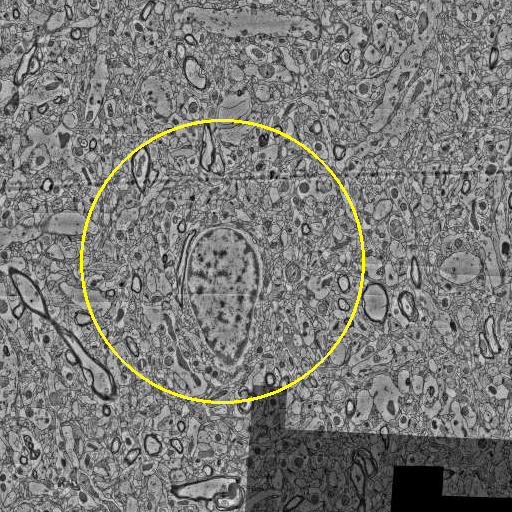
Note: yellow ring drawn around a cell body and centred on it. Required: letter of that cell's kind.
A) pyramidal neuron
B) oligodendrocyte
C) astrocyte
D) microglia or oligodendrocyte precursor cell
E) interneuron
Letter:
D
